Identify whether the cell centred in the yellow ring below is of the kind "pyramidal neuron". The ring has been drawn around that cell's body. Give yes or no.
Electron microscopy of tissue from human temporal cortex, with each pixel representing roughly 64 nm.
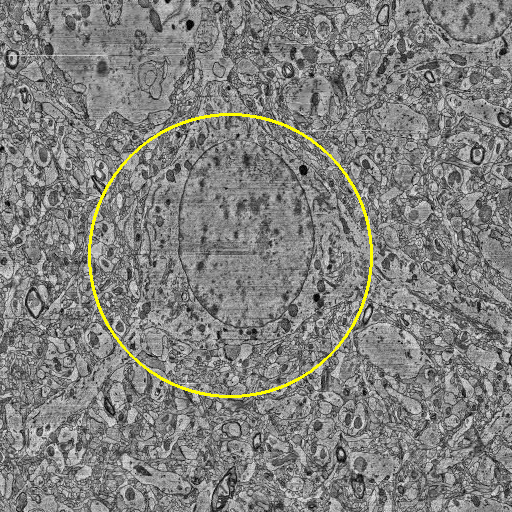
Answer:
yes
